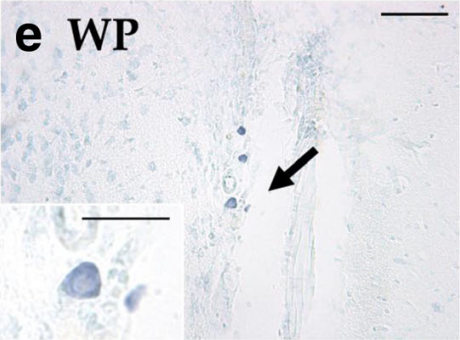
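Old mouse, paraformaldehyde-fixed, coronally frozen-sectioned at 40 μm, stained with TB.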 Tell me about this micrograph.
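Against pale blue brain tissue with scattered lightly stained nuclei, a short row of several round cells stands out, stained a deep purple-blue, lying along a strip of looser tissue beside a paler band. The enlarged inset shows one of them as a plump rounded cell with dense purple cytoplasm next to a smaller one. These intensely stained cells are mast cells.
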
